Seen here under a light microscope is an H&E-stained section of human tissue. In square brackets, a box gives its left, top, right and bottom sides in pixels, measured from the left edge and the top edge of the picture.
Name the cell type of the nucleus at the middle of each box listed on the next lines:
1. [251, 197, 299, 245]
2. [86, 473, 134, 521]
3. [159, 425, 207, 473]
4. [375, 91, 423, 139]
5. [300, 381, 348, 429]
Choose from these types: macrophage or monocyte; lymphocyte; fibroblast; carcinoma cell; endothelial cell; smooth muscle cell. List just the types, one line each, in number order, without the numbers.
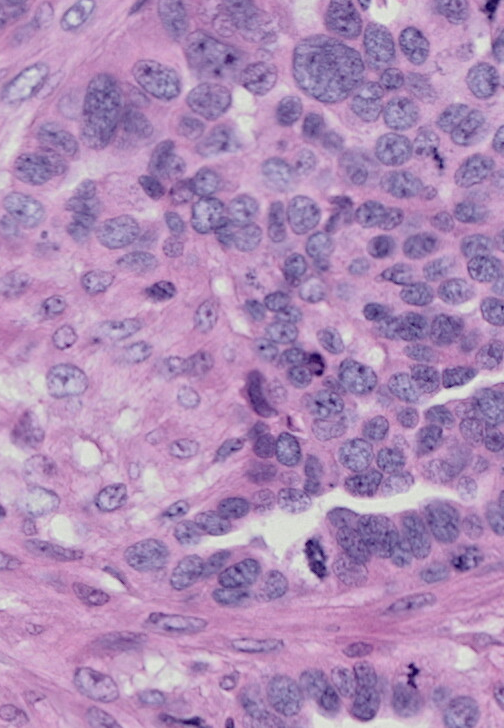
carcinoma cell
fibroblast
fibroblast
carcinoma cell
carcinoma cell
